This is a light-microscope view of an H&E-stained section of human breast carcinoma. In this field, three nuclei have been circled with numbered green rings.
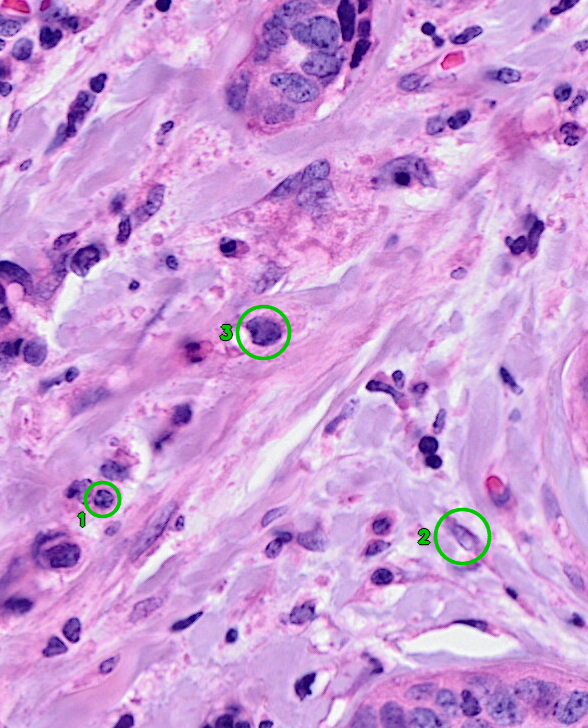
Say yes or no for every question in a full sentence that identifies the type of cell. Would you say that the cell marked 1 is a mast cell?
Yes, the cell sitting at number 1 is a mast cell.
